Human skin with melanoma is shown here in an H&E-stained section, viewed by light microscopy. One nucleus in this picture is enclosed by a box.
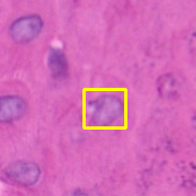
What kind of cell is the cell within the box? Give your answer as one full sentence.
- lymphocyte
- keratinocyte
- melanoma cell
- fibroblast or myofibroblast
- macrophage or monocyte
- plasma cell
On this particular slide, the cell within the box is a keratinocyte.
